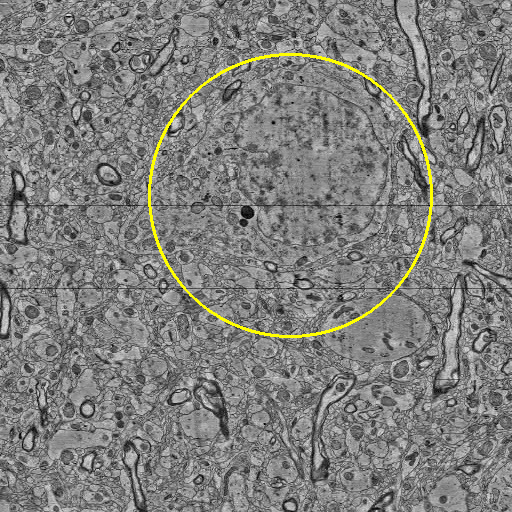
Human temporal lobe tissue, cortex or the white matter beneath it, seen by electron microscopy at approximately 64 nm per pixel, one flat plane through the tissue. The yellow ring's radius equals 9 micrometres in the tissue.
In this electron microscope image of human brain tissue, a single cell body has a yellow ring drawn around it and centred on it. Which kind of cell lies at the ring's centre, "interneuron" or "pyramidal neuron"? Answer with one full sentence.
It is an interneuron whose cell body lies at the centre of the yellow ring here.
